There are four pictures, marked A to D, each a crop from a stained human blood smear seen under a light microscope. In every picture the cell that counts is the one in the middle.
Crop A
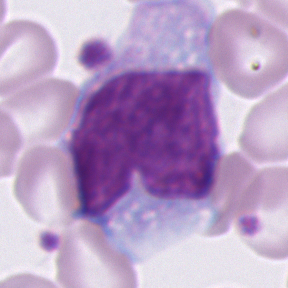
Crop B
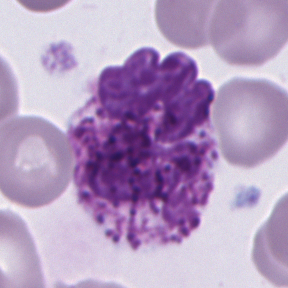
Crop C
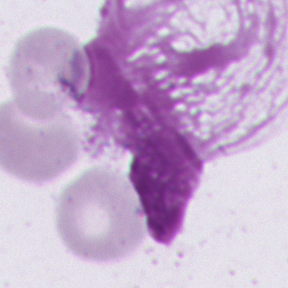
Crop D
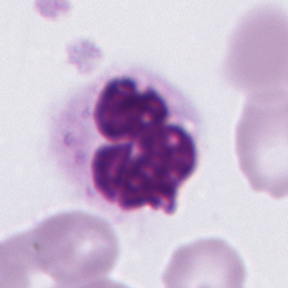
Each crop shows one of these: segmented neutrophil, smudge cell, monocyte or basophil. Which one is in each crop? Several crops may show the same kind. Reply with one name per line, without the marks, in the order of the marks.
monocyte
basophil
smudge cell
segmented neutrophil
